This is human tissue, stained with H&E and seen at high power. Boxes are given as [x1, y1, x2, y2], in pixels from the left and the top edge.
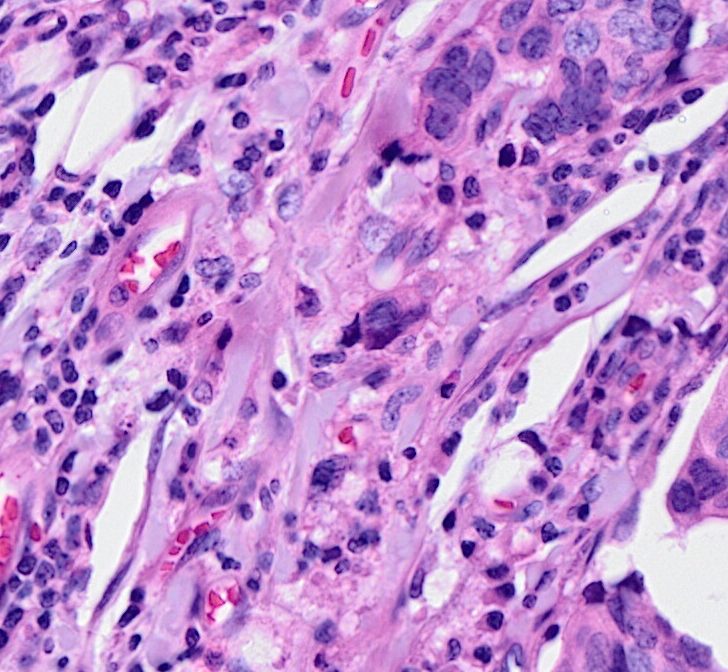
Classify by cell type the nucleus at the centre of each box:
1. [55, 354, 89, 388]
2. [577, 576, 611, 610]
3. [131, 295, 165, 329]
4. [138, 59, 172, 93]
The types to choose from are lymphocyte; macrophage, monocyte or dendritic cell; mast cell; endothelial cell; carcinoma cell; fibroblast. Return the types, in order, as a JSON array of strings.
["lymphocyte", "carcinoma cell", "lymphocyte", "lymphocyte"]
